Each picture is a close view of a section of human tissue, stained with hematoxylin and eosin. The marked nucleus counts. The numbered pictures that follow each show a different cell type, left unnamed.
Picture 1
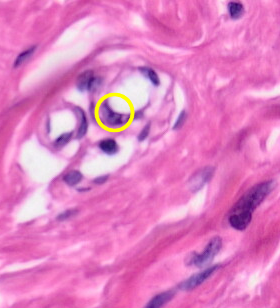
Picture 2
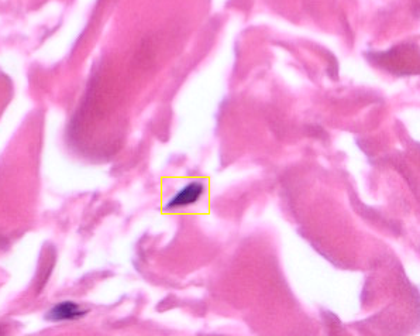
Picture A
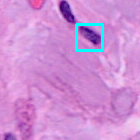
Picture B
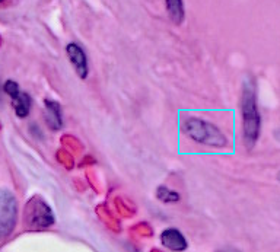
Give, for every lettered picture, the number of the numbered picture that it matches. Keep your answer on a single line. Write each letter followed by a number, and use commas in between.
A 2, B 1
